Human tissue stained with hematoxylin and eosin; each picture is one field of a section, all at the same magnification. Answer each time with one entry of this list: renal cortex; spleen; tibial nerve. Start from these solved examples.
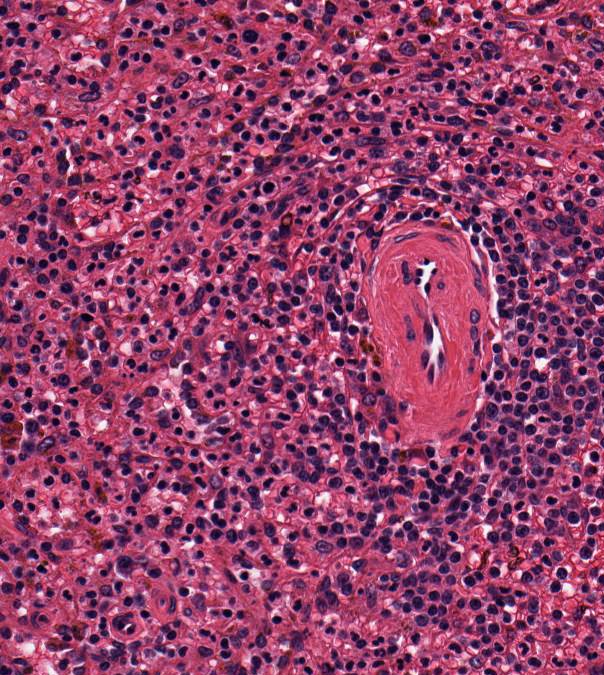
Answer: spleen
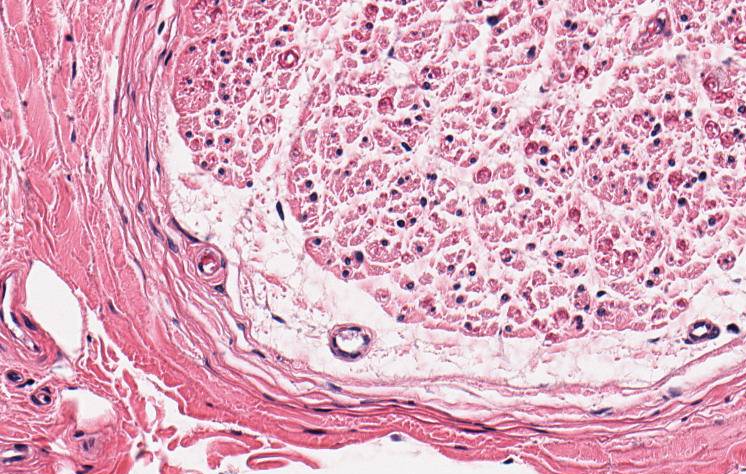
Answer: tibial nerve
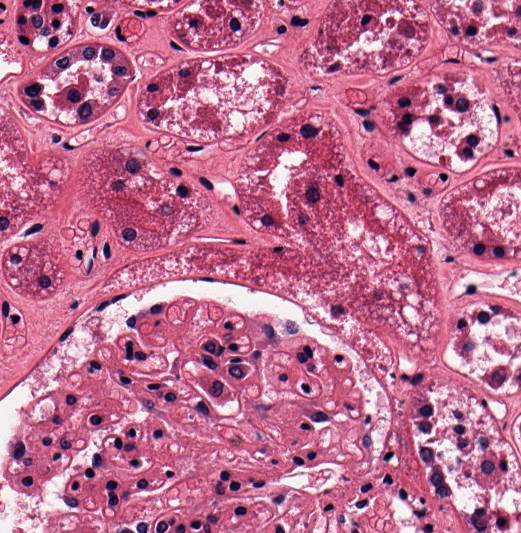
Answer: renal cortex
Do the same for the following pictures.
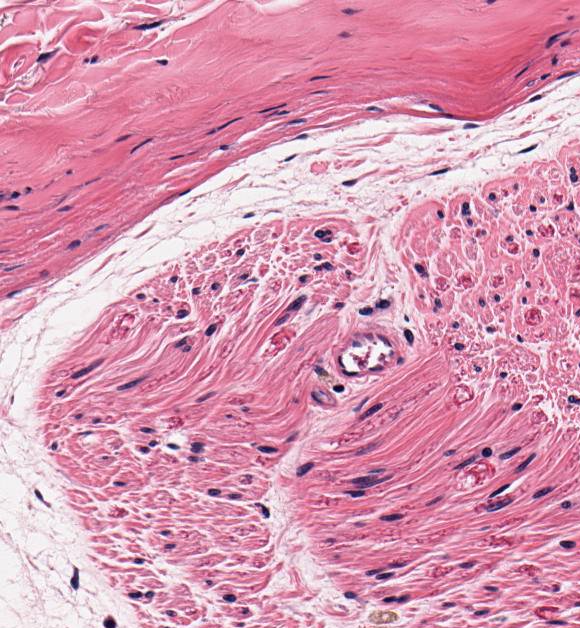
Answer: tibial nerve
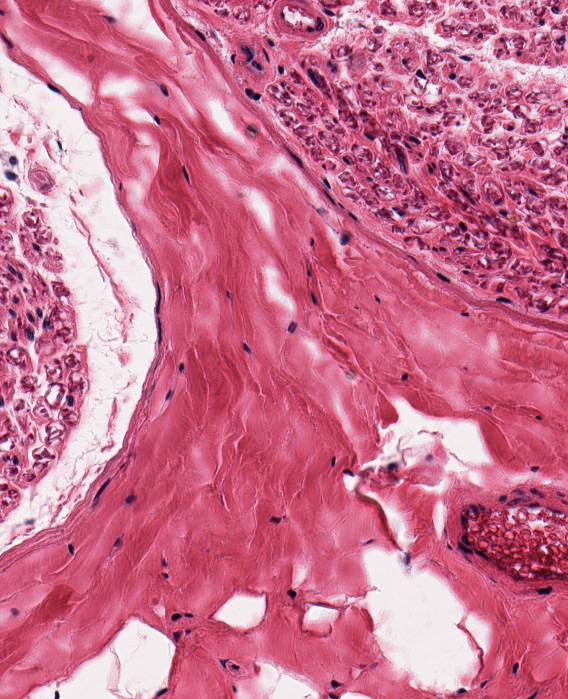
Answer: tibial nerve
